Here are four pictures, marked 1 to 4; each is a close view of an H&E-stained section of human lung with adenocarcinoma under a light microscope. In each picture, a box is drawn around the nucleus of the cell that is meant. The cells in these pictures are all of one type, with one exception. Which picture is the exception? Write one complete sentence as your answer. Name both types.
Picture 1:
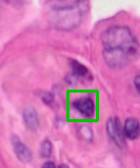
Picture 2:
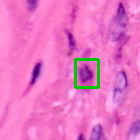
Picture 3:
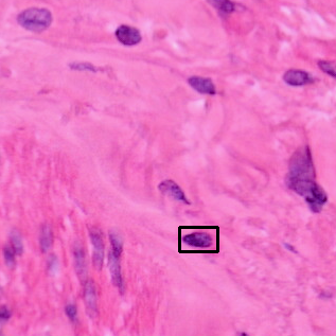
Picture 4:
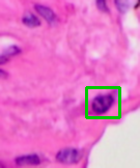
All pictures except 3 show plasma cells; picture 3 shows a mast cell.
